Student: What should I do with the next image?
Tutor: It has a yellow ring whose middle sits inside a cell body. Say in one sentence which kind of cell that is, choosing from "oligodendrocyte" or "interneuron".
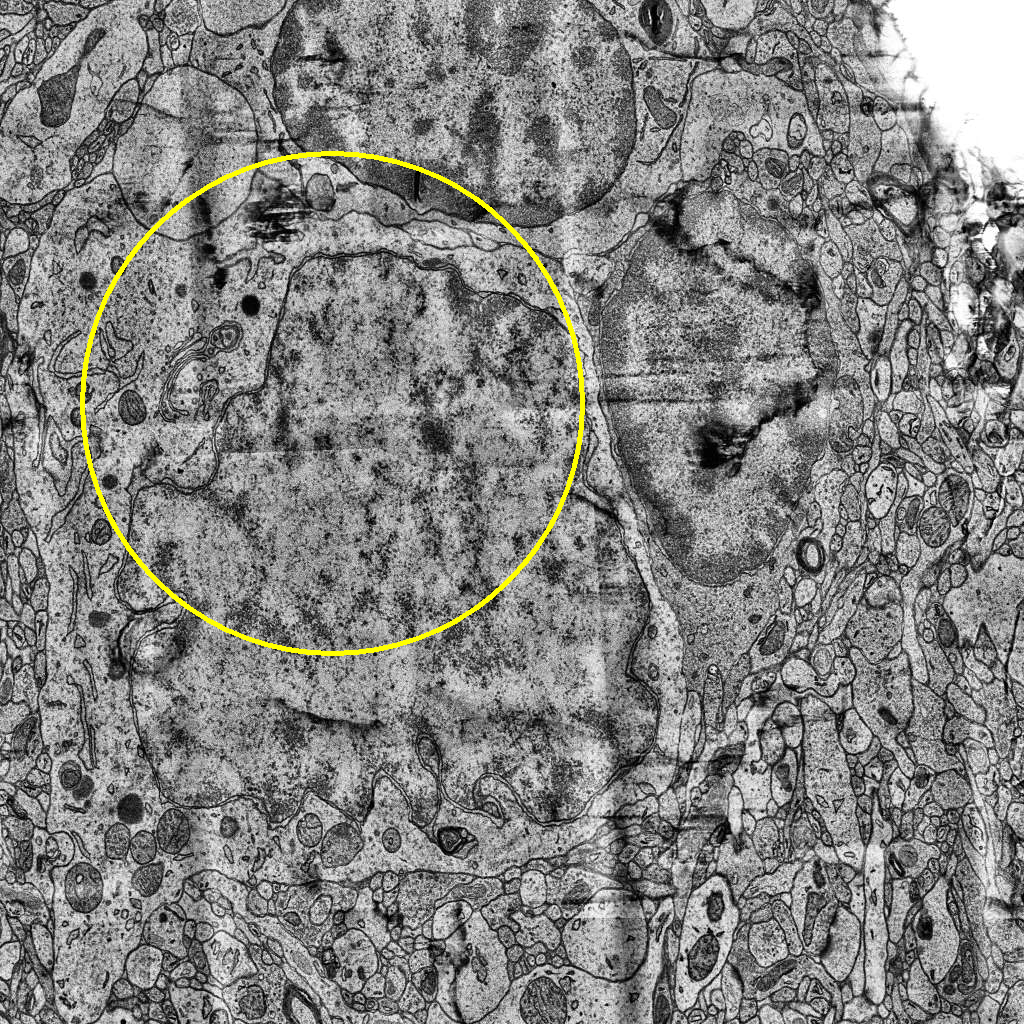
The ring's centre is occupied by an interneuron.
